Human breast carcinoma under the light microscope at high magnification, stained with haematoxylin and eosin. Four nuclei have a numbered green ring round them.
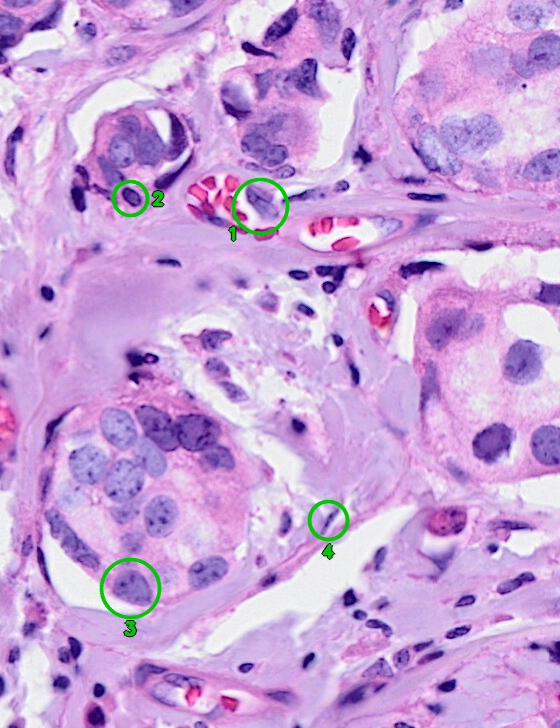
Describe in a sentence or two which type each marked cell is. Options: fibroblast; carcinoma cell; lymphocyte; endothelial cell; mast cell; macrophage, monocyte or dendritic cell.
Cell 1 is an endothelial cell, cell 2 is a lymphocyte, cell 3 is a carcinoma cell and cell 4 is a fibroblast.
